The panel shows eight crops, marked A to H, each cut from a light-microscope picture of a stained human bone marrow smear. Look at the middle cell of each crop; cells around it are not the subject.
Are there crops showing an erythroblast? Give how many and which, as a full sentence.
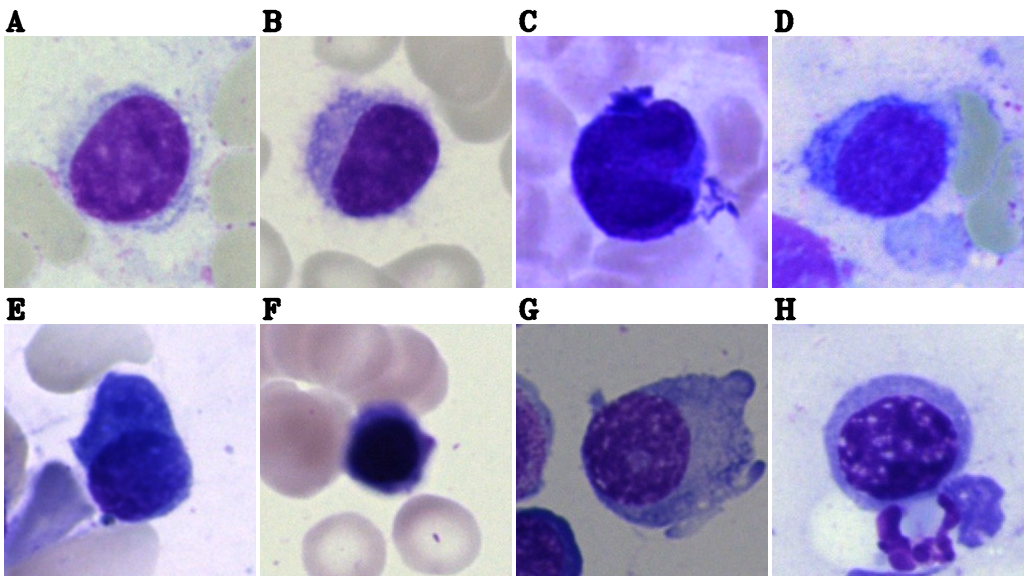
Here is the count: two crops show erythroblasts, namely F and H.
